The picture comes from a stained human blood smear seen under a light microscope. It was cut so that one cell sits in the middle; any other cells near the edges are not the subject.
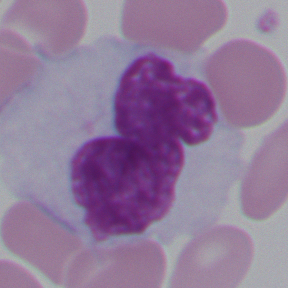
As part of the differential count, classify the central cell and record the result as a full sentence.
The single cell at the center of the crop is a monocyte.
